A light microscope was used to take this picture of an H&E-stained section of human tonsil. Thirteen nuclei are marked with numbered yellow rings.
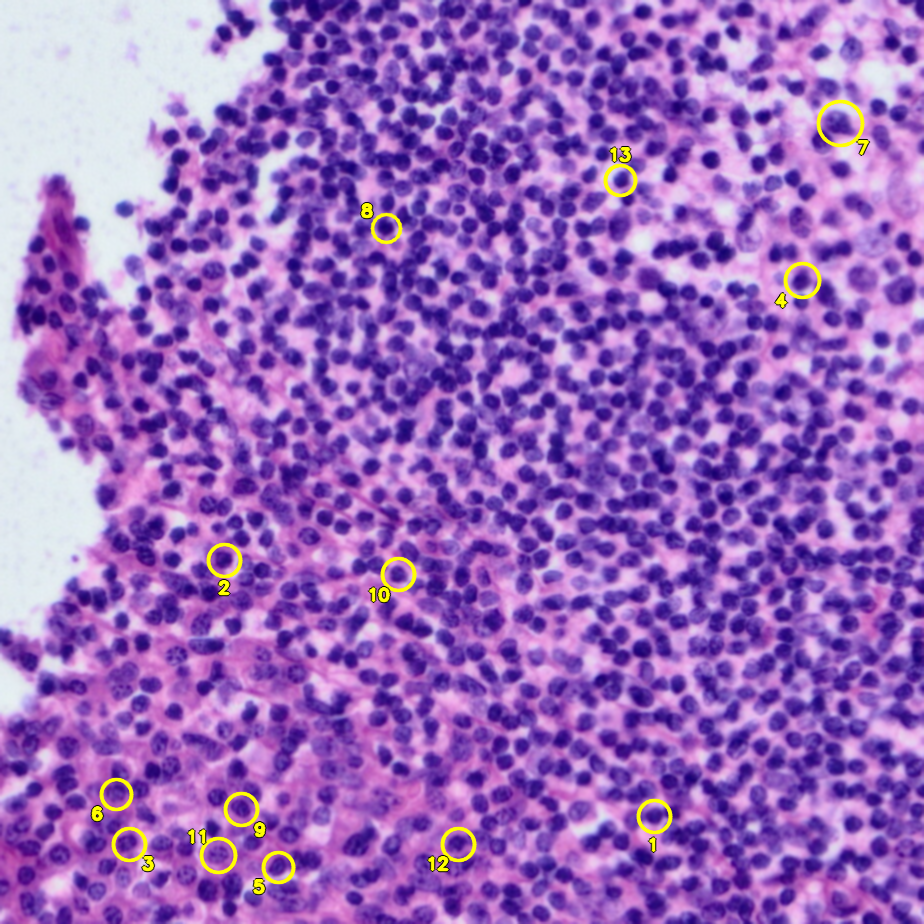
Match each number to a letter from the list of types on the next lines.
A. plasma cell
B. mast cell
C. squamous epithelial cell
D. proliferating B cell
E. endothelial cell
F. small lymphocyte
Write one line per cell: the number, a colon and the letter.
1: F
2: A
3: A
4: D
5: A
6: A
7: D
8: F
9: A
10: F
11: A
12: A
13: F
